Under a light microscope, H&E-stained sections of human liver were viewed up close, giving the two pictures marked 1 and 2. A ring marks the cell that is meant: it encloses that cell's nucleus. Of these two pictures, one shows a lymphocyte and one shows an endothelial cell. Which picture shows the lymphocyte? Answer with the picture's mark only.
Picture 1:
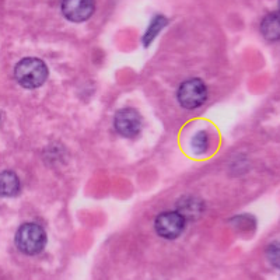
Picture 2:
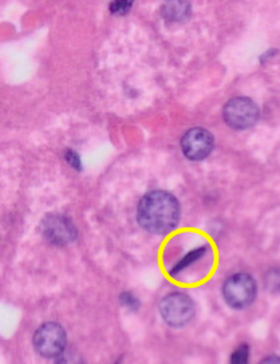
1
